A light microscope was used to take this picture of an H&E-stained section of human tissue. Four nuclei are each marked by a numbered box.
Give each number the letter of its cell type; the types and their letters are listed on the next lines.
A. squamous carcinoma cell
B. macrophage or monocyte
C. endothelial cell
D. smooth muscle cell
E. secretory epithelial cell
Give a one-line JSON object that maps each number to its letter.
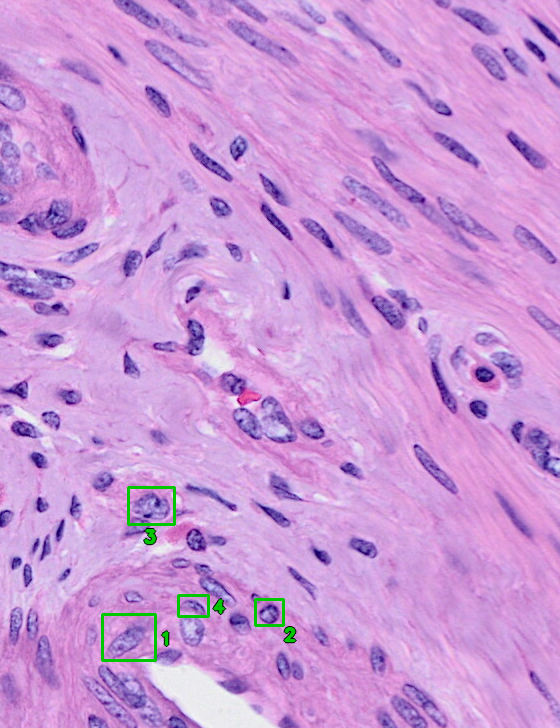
{"1": "D", "2": "D", "3": "C", "4": "D"}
